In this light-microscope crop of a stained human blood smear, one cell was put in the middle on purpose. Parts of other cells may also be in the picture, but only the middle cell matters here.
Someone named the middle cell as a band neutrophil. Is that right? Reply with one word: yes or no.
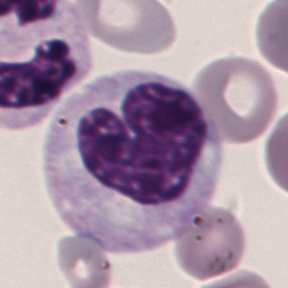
yes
